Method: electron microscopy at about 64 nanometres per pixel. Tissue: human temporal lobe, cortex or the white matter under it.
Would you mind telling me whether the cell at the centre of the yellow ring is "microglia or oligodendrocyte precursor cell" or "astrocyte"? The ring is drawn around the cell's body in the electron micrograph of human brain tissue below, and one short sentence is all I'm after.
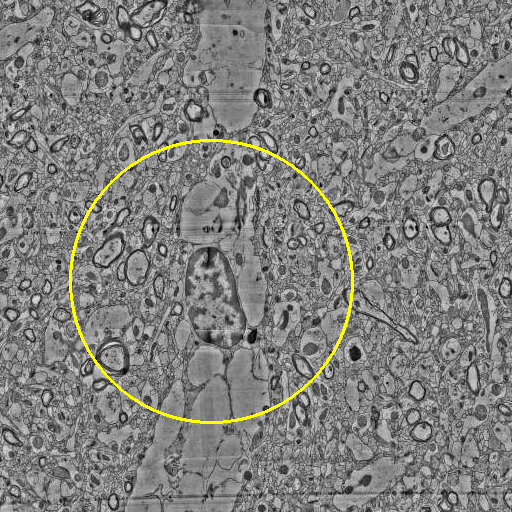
In the centre of the ring lies a microglial cell or oligodendrocyte precursor cell.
